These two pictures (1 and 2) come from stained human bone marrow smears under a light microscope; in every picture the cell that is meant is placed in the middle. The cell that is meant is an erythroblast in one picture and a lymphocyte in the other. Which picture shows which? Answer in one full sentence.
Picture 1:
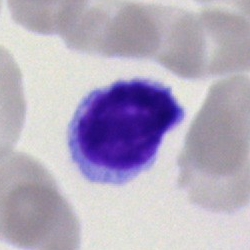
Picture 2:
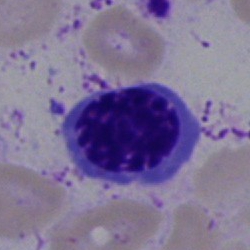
The cell in picture 1 is a lymphocyte, and the one in picture 2 is an erythroblast.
